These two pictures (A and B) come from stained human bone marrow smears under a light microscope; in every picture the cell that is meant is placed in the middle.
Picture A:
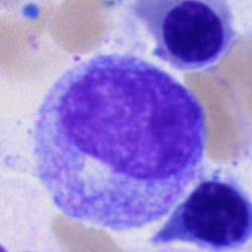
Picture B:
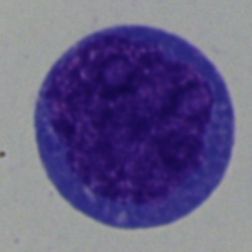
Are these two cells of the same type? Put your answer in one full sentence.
No; the cell in picture A is a promyelocyte, while the one in picture B is a blast.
